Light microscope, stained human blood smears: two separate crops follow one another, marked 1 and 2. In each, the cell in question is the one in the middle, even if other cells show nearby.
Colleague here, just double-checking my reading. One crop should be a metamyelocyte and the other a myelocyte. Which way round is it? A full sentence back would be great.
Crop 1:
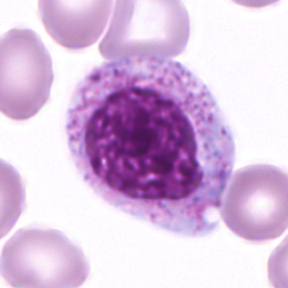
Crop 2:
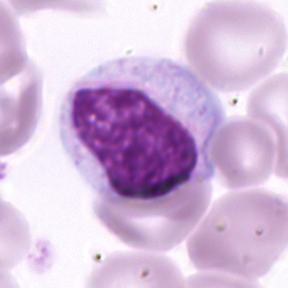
What crop 1 shows is a myelocyte, and what crop 2 shows is a metamyelocyte.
